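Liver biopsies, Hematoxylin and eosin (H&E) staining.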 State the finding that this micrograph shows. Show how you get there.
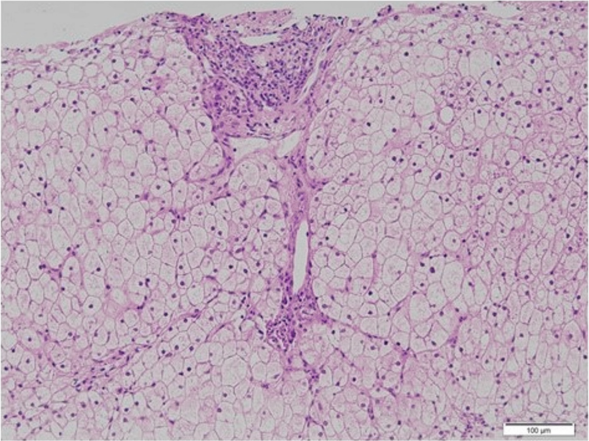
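Vacuolar degeneration. Polygonal cells have pale, clear, empty-looking cytoplasm. Cell membranes stand out sharply around the pale cytoplasm. Small round nuclei sit within the swollen pale cells.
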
